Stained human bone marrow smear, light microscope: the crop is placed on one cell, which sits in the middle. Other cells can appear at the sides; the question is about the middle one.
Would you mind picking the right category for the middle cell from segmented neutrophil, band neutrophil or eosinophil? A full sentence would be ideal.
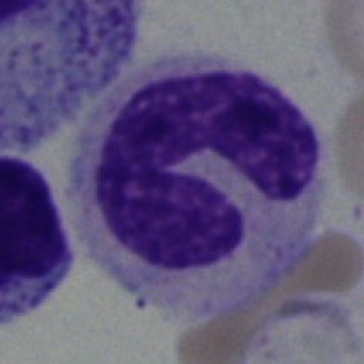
The cell occupying the middle of the crop is a band neutrophil.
